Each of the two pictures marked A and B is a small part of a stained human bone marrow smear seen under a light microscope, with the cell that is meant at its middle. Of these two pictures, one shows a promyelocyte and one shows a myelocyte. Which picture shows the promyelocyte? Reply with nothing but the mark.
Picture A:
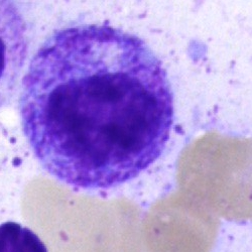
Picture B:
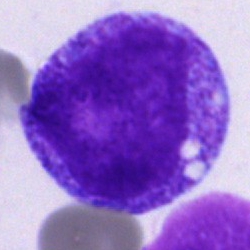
B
